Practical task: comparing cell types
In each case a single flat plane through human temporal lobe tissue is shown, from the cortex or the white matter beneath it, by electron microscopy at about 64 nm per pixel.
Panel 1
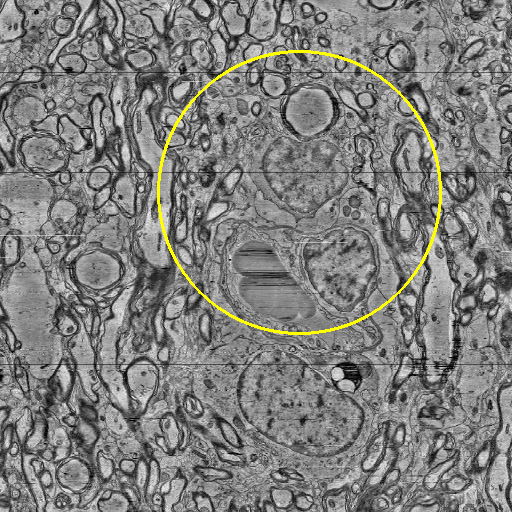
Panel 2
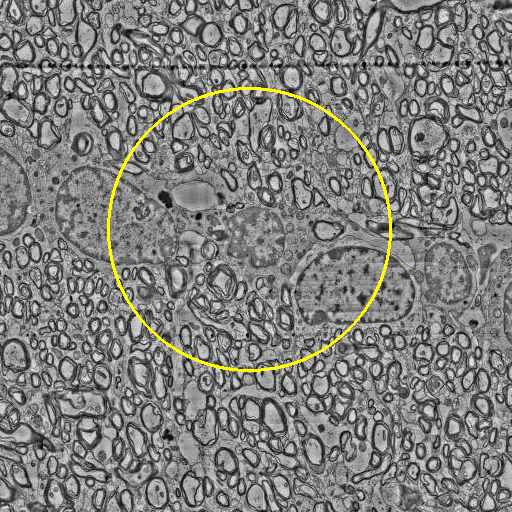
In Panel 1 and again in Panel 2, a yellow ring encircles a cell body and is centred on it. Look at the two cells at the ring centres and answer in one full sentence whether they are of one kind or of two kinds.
The two cells sitting at the ring centres of Panels 1 and 2 are of one kind.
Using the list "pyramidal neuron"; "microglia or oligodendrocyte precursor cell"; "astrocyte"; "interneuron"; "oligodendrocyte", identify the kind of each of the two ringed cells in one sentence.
The first and the second cell are each an oligodendrocyte.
